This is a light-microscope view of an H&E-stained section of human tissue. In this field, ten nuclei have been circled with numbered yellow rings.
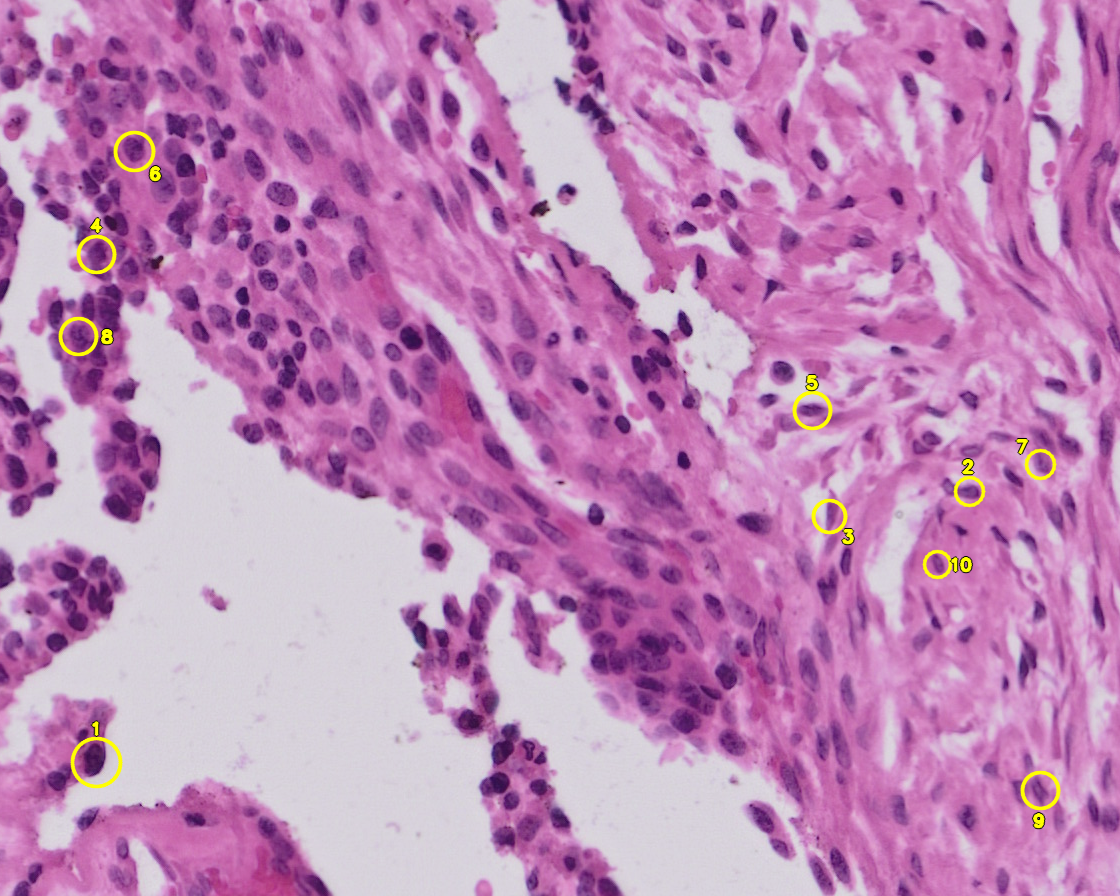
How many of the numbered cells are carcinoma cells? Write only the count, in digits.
4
